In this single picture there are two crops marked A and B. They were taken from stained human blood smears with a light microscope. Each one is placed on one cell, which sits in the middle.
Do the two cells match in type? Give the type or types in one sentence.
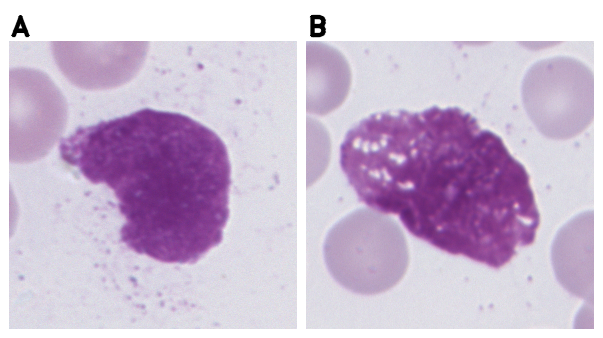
Yes, the two crops share the same answer, smudge cells.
